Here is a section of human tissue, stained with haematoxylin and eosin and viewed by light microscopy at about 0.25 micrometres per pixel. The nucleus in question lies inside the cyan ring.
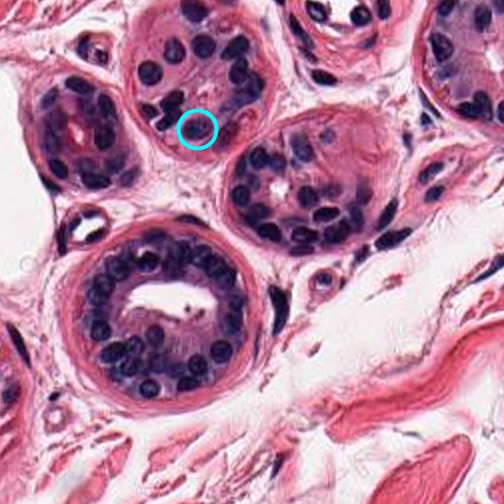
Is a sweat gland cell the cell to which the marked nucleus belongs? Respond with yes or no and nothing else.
yes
